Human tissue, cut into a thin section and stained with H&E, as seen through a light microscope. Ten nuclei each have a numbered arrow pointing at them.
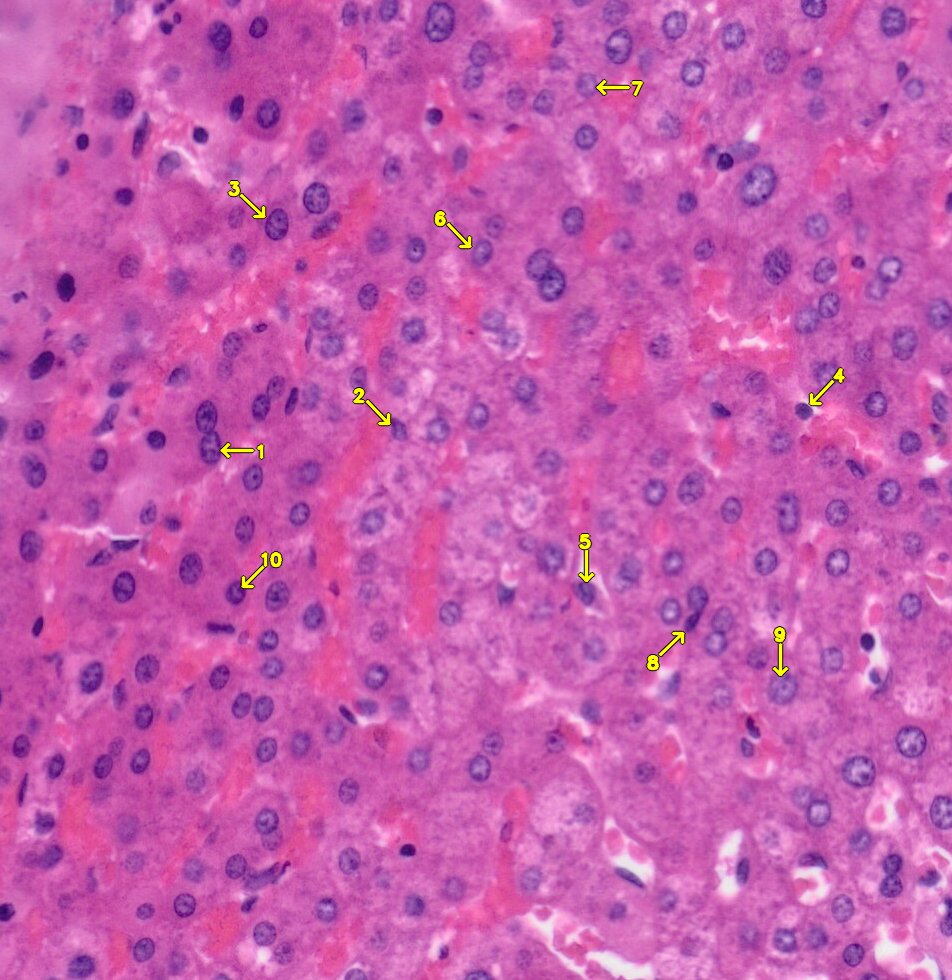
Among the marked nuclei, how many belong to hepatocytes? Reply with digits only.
6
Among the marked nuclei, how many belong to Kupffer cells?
1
